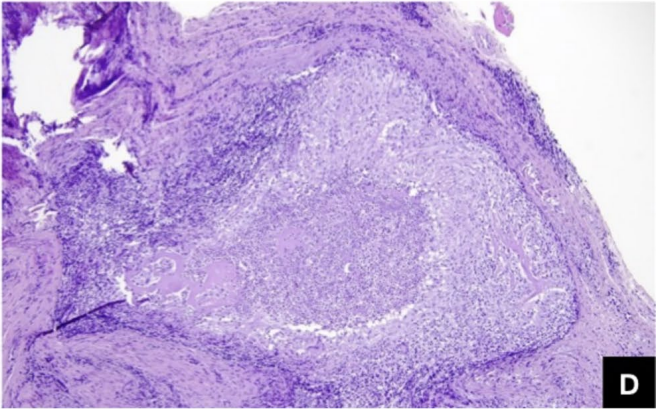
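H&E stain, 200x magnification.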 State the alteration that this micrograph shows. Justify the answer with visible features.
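A rounded zone of paler cells with pale nuclei lies in the centre. A rim of darker, densely packed cells and fibrous tissue surrounds it.
Conclusion: granulomatous component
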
